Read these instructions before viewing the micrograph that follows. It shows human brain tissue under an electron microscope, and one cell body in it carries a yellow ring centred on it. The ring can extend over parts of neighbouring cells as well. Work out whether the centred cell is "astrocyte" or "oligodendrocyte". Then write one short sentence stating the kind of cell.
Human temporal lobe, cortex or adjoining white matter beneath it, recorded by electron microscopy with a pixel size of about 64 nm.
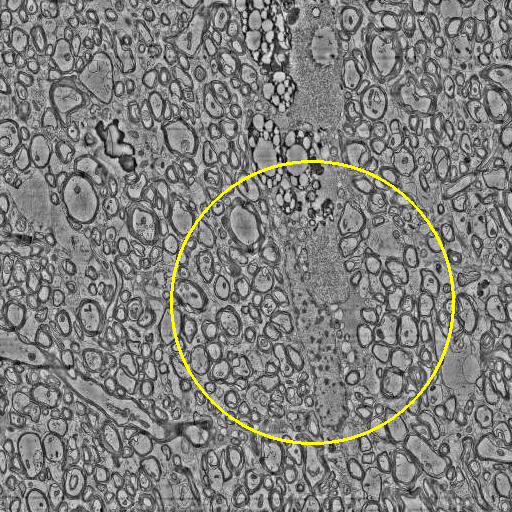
The ringed cell is an astrocyte.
